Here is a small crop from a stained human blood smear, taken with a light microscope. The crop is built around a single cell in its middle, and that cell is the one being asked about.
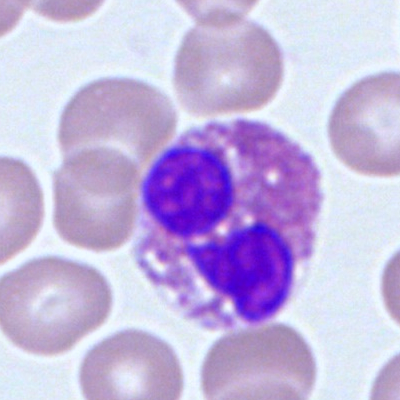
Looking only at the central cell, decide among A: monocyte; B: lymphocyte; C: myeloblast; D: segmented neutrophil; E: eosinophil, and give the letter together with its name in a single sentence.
In the centre of the crop there is an eosinophil, making option E correct.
